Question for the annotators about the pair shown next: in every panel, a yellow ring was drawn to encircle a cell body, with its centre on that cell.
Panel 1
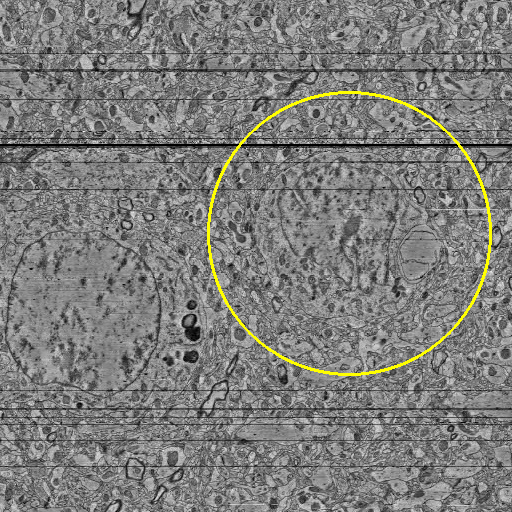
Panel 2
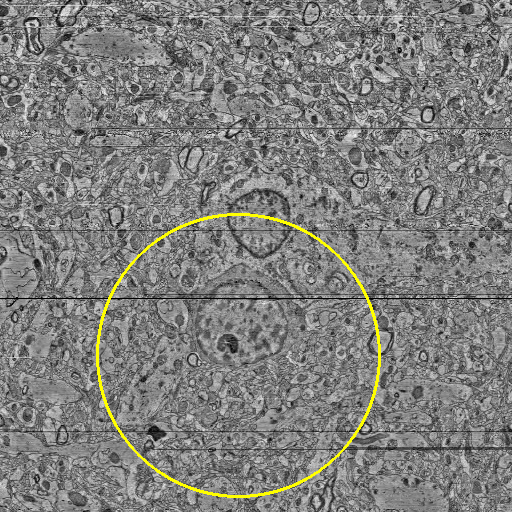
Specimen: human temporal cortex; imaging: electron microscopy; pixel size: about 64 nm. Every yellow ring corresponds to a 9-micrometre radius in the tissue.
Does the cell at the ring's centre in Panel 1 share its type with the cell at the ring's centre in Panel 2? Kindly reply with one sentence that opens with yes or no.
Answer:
No, in Panels 1 and 2 the cells at the ring centres belong to separate types.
